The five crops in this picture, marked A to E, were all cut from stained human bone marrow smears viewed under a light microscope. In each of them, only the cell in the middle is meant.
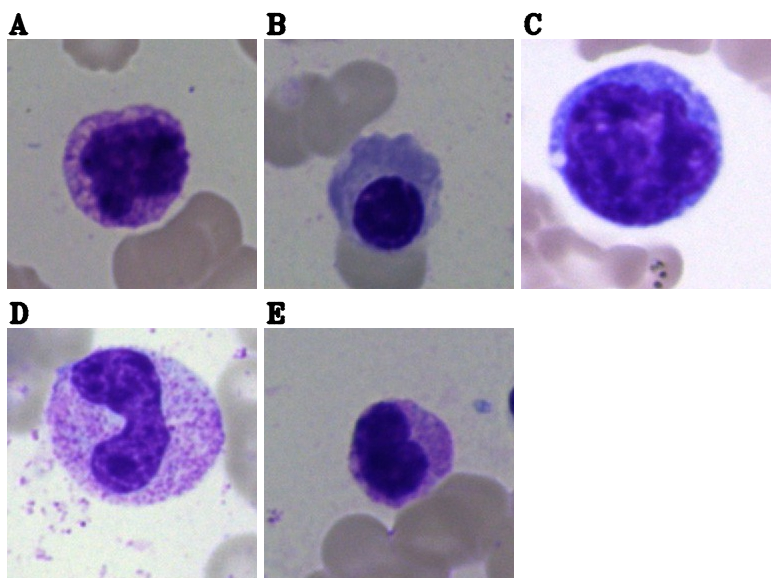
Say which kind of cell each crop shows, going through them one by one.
A: basophil
B: erythroblast
C: blast
D: band neutrophil
E: basophil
